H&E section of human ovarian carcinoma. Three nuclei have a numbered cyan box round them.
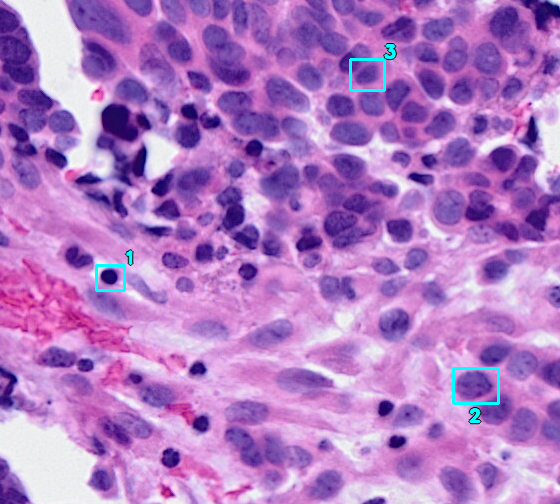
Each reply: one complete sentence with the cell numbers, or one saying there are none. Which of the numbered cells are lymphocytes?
It is only cell 1 that is a lymphocyte among the numbered cells.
